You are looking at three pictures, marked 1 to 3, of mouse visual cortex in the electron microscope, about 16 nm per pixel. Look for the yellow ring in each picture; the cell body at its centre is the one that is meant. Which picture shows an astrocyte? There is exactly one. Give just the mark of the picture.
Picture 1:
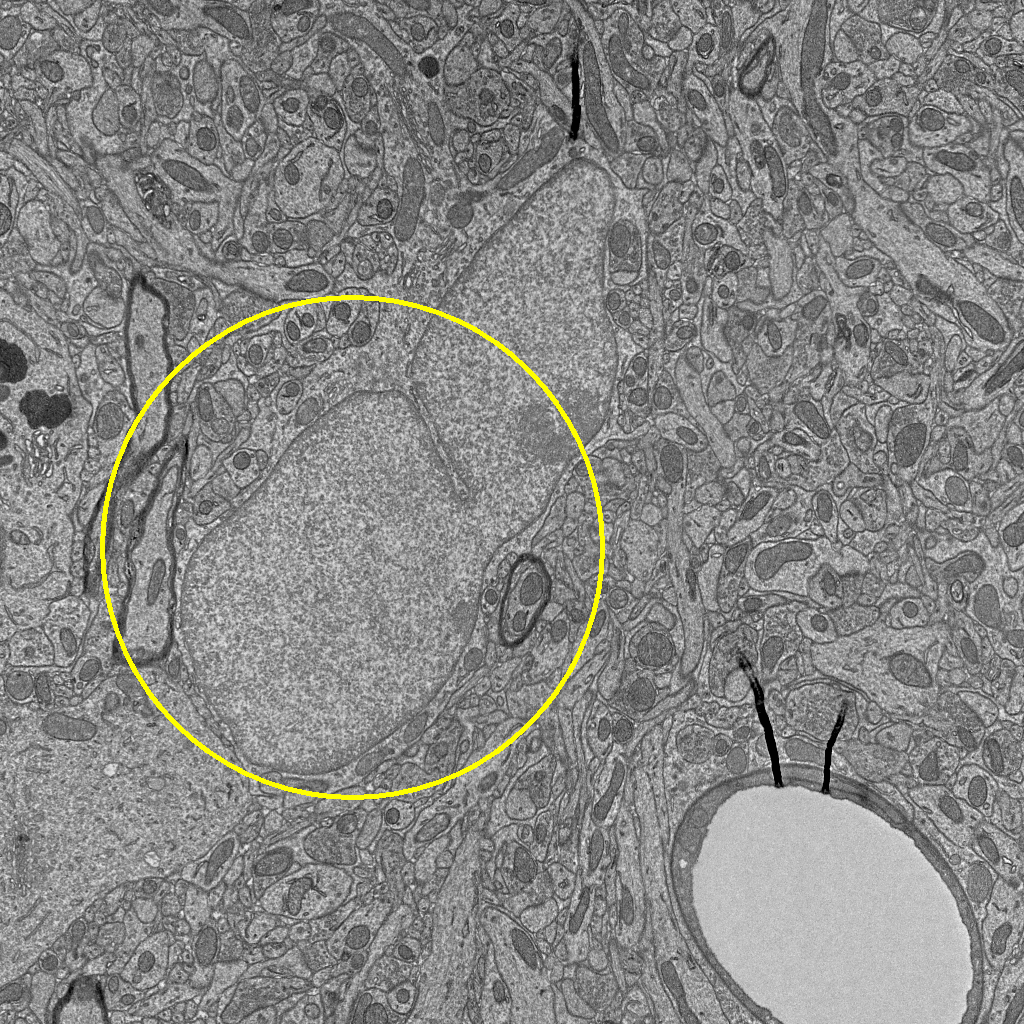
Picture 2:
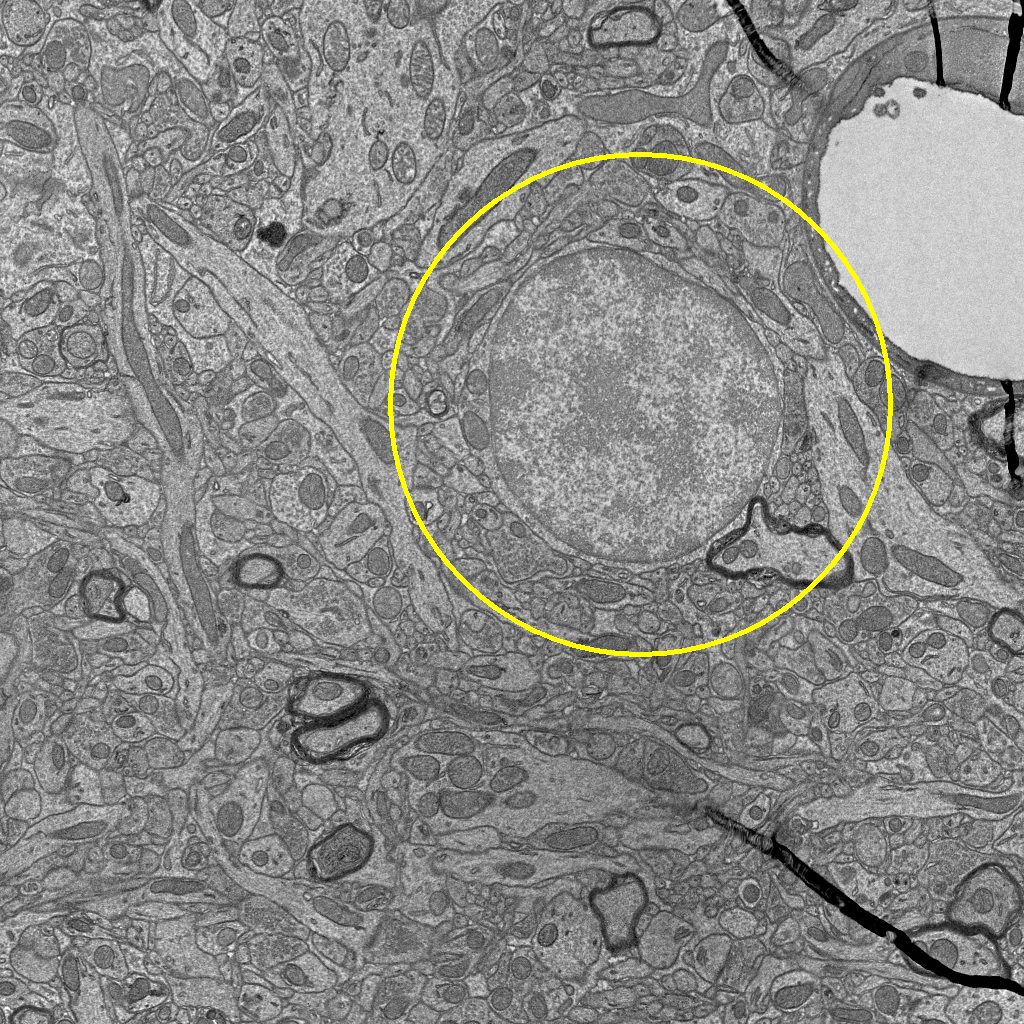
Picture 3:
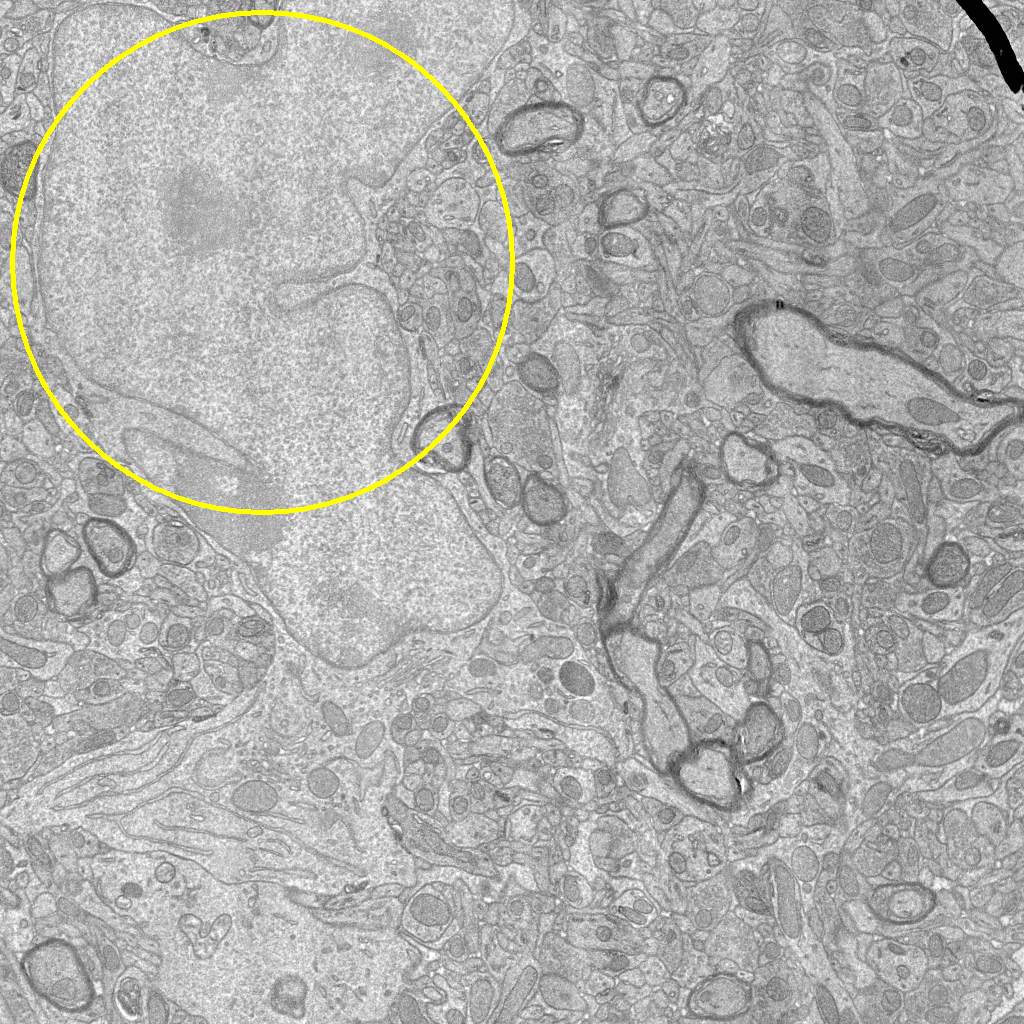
1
